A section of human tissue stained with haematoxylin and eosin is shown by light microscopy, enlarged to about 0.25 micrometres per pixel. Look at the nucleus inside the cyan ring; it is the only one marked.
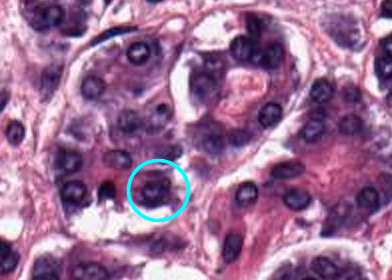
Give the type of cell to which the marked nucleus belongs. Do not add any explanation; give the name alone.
pancreatic acinar cell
